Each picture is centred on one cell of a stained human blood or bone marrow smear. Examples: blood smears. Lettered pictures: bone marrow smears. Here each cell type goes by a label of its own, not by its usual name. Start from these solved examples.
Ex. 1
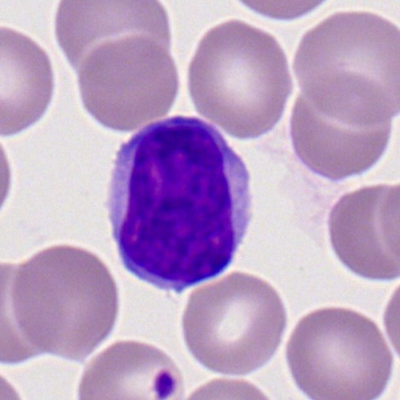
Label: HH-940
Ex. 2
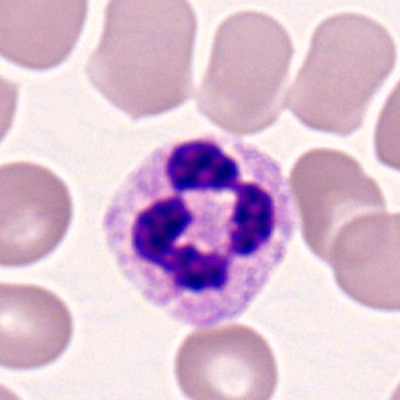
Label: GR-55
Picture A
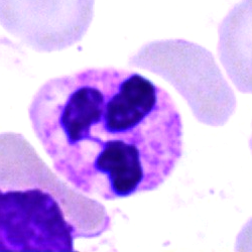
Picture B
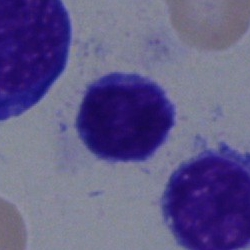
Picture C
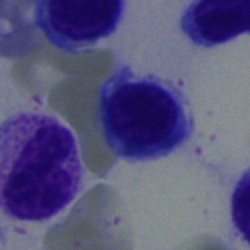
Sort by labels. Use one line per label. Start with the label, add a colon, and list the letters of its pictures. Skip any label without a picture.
HH-940: B, C
GR-55: A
